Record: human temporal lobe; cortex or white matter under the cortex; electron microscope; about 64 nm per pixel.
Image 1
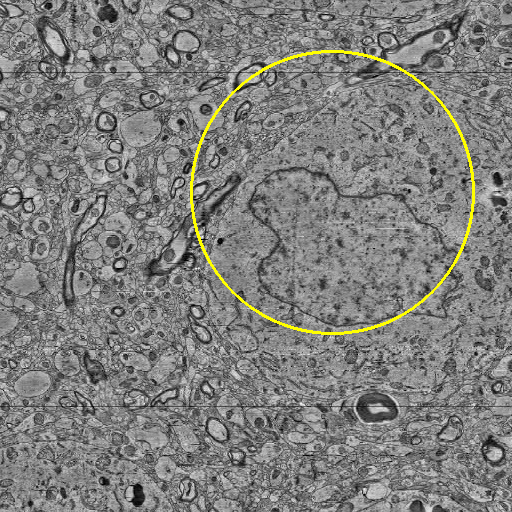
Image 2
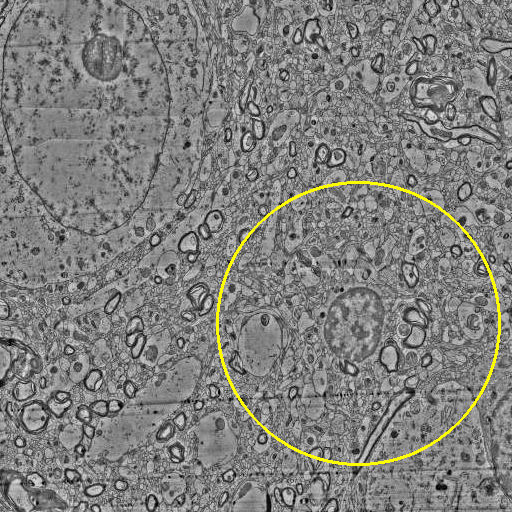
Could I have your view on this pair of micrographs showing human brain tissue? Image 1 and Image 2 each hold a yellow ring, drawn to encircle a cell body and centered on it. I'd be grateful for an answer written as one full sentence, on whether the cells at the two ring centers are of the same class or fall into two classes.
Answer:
The cells at the centers of the two rings fall into two classes.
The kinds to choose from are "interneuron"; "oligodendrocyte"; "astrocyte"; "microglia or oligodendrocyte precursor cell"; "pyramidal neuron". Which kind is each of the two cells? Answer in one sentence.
Of the two, the first cell is a pyramidal neuron and the second cell is an oligodendrocyte.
